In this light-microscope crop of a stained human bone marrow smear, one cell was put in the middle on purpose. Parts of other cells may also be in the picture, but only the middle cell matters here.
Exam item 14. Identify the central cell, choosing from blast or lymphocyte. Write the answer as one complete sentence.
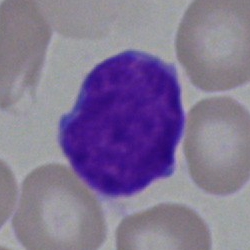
The cell the crop is centered on is a blast.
